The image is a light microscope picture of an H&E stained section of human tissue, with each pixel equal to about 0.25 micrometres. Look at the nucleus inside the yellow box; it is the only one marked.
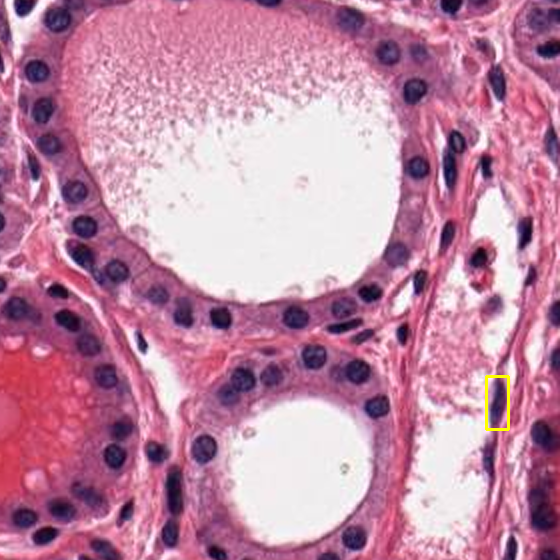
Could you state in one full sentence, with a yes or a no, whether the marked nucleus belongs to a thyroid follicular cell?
No, the marked nucleus resides in a supporting cell, not in a thyroid follicular cell.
